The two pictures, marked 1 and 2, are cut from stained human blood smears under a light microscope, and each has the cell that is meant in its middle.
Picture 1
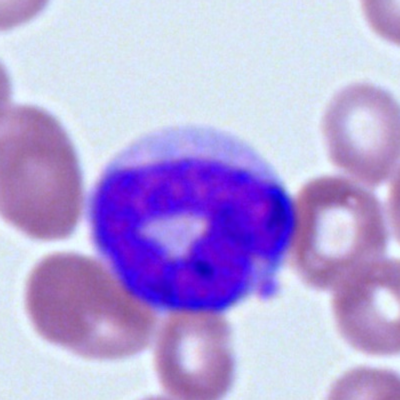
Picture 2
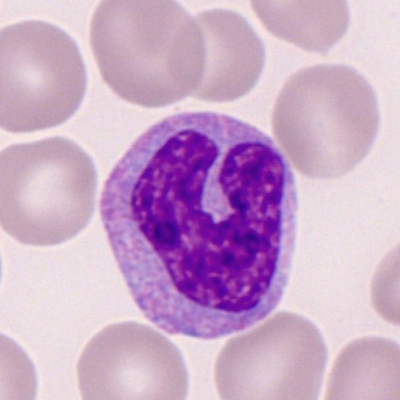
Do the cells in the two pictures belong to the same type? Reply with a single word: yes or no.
yes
